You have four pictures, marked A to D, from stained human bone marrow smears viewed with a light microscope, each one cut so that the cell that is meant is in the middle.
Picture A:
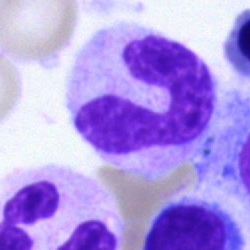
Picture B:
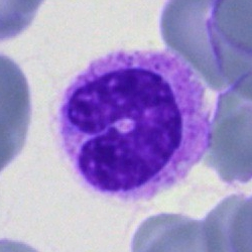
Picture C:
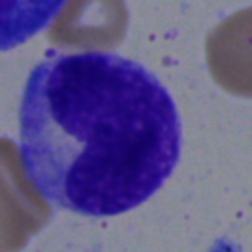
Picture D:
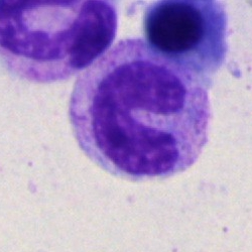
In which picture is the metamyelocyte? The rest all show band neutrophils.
C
